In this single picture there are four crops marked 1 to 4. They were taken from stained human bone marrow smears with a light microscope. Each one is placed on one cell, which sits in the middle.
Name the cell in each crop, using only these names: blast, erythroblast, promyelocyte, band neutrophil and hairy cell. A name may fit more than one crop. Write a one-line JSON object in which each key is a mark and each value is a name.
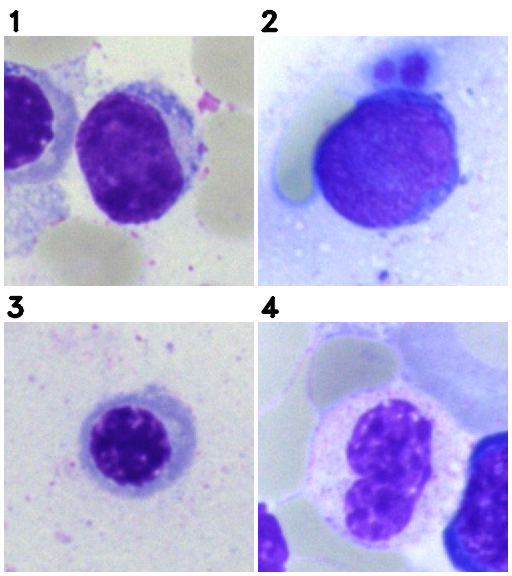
{"1": "hairy cell", "2": "blast", "3": "erythroblast", "4": "band neutrophil"}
